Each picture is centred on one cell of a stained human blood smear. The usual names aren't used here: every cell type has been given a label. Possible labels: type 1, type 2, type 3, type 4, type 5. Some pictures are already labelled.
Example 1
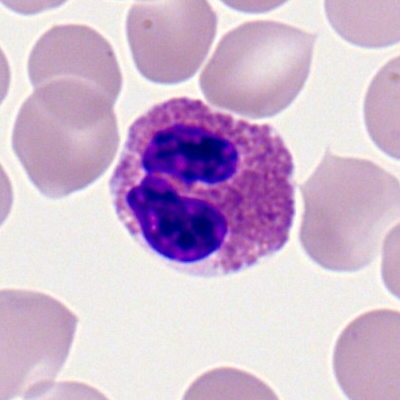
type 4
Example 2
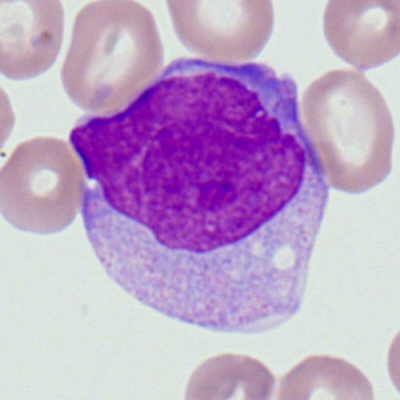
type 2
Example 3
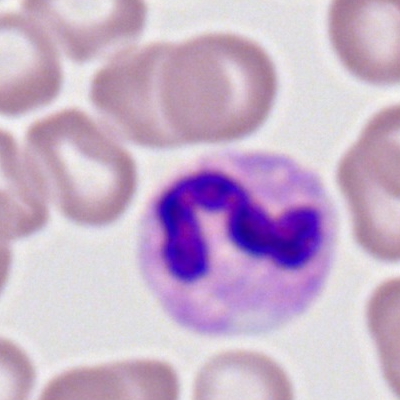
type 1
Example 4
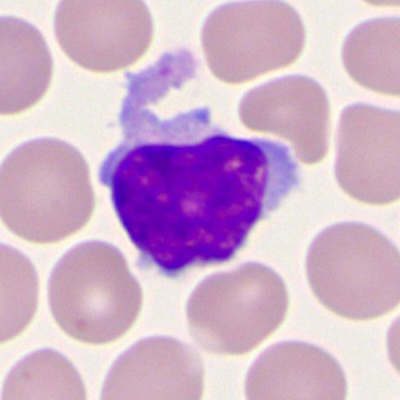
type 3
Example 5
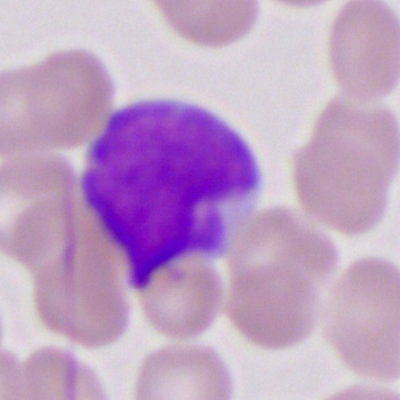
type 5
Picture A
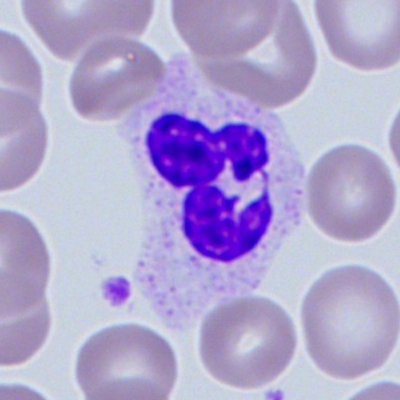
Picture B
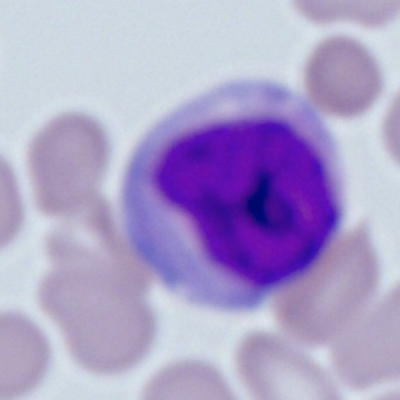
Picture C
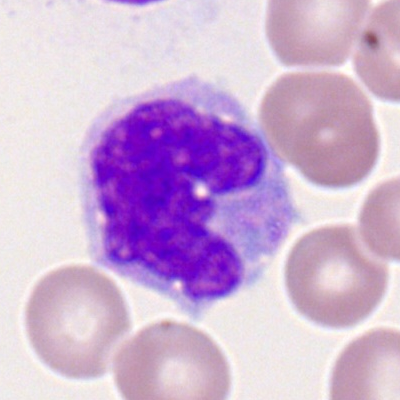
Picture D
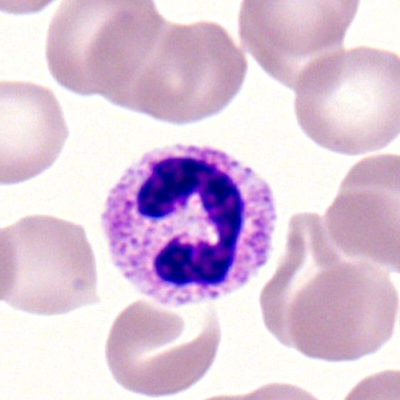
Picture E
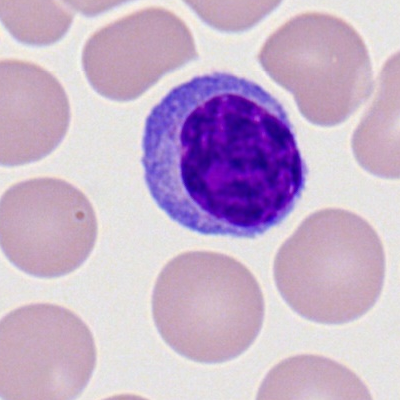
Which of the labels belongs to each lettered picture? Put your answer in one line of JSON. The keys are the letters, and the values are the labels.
{"A": "type 1", "B": "type 2", "C": "type 2", "D": "type 1", "E": "type 3"}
